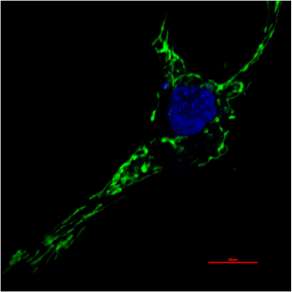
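An oval blue nucleus sits near the upper middle of the cell. Long cytoplasmic processes extend from the cell body towards the lower left and the upper right. The mitochondria form a network of thin tubular threads and short rods in the cytoplasm around the nucleus. Within the processes they run aligned along the long axis of the cell. Some shorter, dot-like mitochondrial pieces are scattered among the threads. No green lies within the nucleus. The background around the cell is dark.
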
